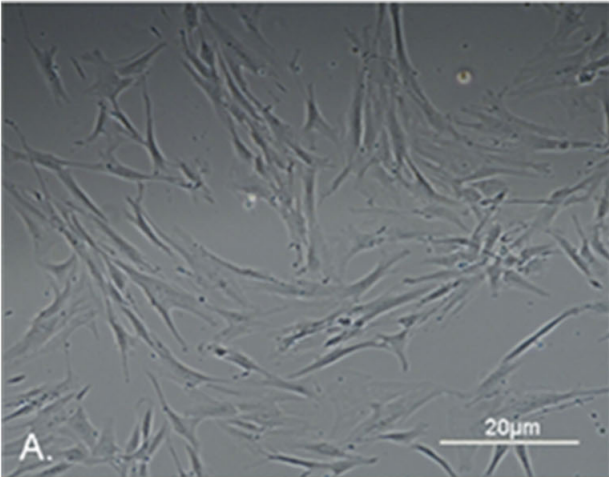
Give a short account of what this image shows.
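Most cells are elongated and spindle-shaped, with long, thin tapering processes extending from an oval central body containing the nucleus. The cells lie loosely, in places aligned side by side in stream-like groups, with open spaces of bare surface between them.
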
